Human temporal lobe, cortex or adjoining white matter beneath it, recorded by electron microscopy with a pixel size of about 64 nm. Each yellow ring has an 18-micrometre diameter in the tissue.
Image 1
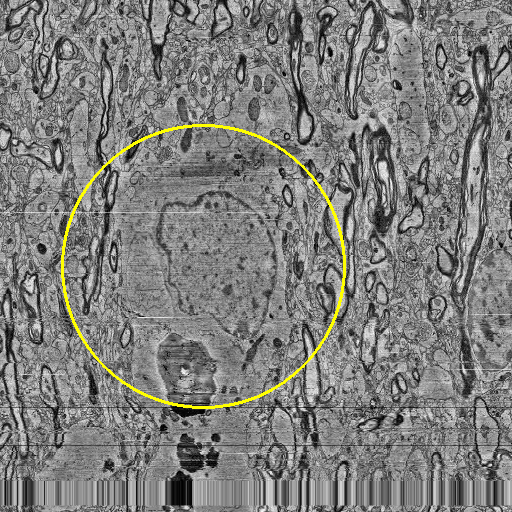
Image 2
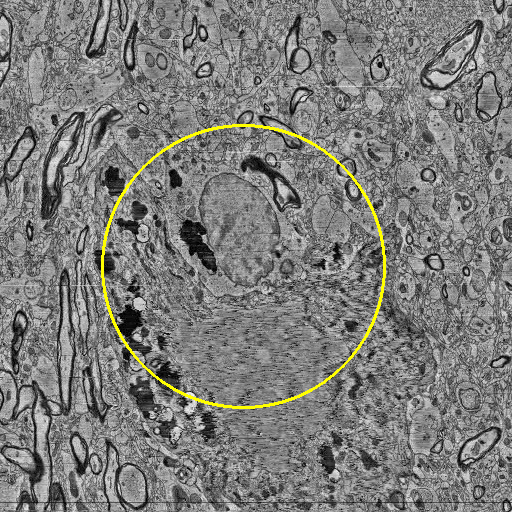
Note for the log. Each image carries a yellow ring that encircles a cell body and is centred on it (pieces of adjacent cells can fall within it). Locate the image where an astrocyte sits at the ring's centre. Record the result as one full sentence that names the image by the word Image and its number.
Image 1 has the wanted cell sitting at the centre of its ring.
